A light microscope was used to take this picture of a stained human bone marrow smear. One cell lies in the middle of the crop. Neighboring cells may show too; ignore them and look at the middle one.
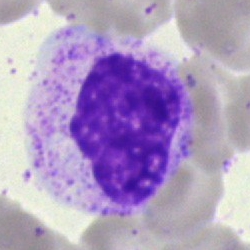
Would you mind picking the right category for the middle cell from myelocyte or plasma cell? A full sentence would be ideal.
Seen at the centre of the crop is a myelocyte.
